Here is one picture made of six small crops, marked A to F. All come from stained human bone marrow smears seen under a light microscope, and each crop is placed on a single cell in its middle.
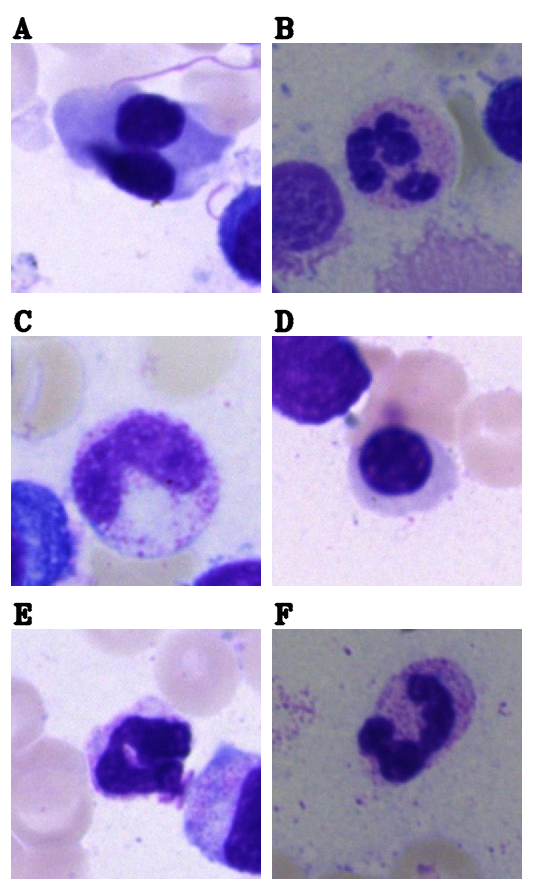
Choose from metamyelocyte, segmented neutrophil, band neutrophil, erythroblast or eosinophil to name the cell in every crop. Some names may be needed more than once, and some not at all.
A: erythroblast
B: segmented neutrophil
C: band neutrophil
D: erythroblast
E: segmented neutrophil
F: segmented neutrophil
